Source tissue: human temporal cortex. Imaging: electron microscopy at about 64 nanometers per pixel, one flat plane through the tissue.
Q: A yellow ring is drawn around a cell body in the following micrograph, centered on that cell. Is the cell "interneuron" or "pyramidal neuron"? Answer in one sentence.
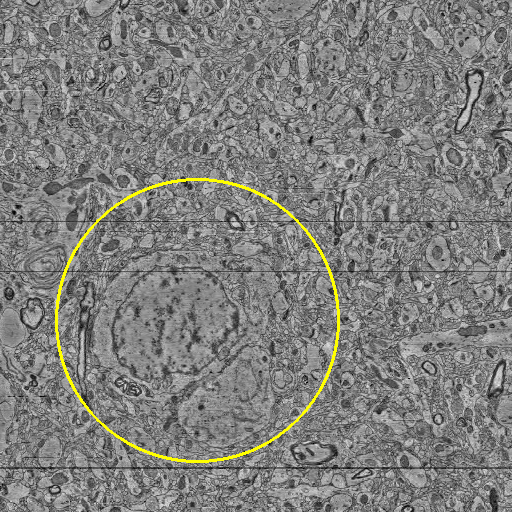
The cell in the center of the ring is an interneuron.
